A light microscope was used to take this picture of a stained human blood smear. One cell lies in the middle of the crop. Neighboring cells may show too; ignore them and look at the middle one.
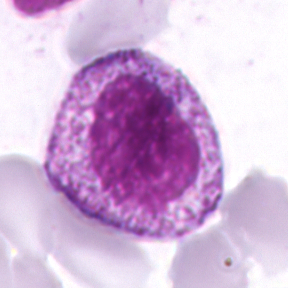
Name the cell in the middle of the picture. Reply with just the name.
myelocyte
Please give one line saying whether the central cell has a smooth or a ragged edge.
The outline traces a smooth curve with no projections along it.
